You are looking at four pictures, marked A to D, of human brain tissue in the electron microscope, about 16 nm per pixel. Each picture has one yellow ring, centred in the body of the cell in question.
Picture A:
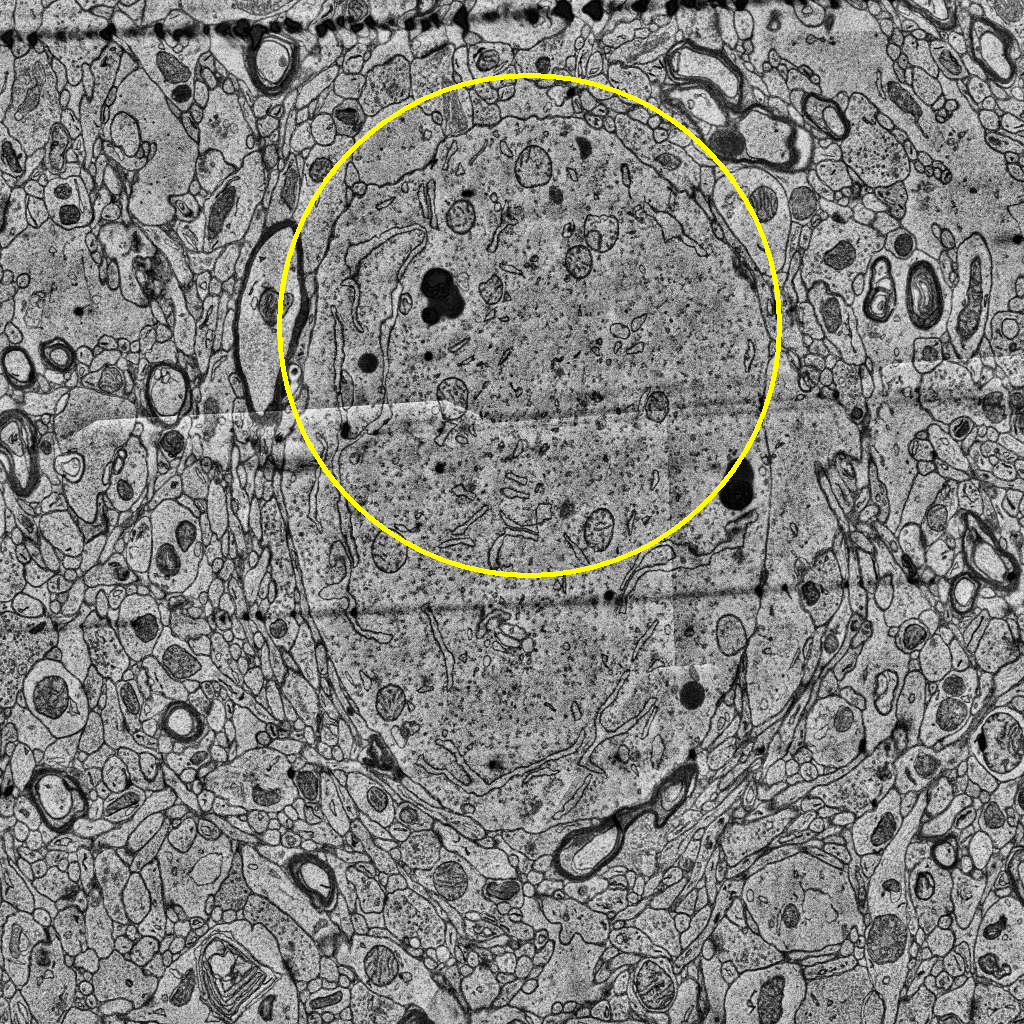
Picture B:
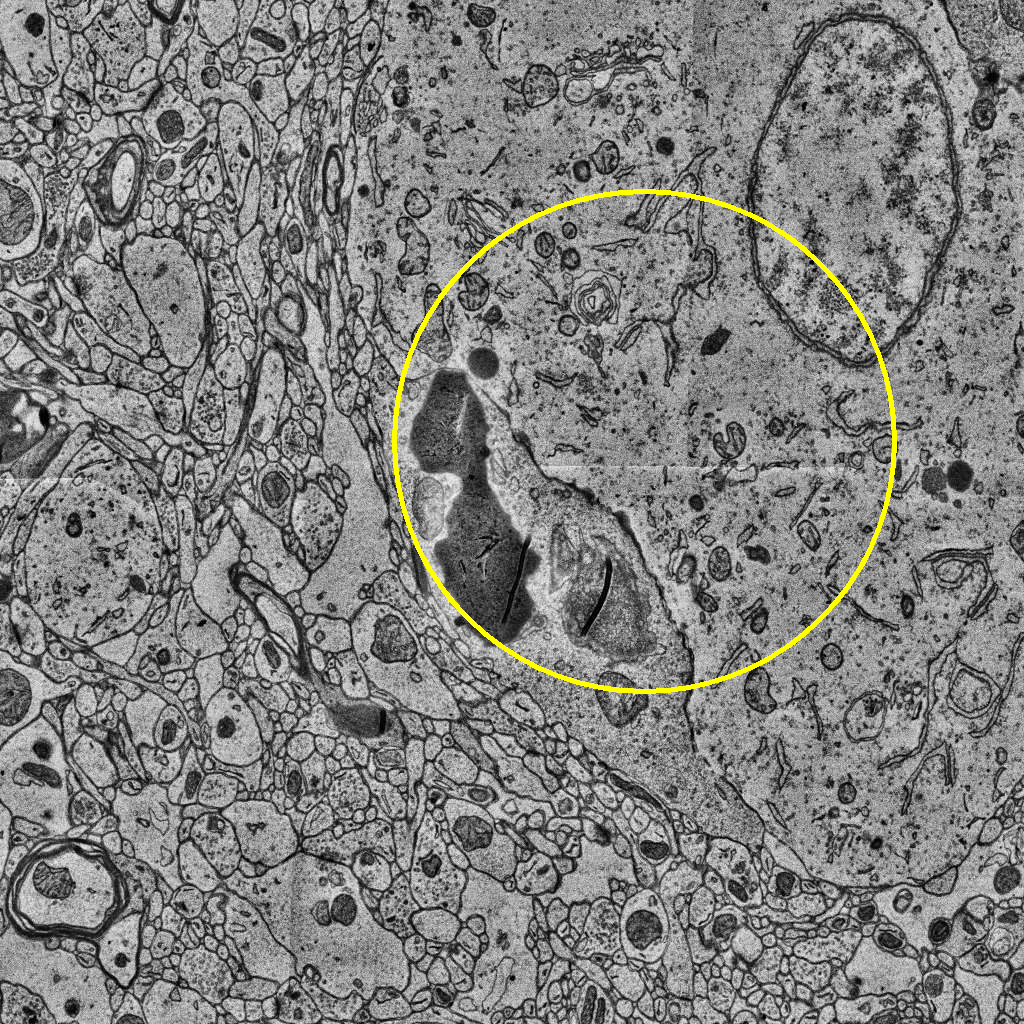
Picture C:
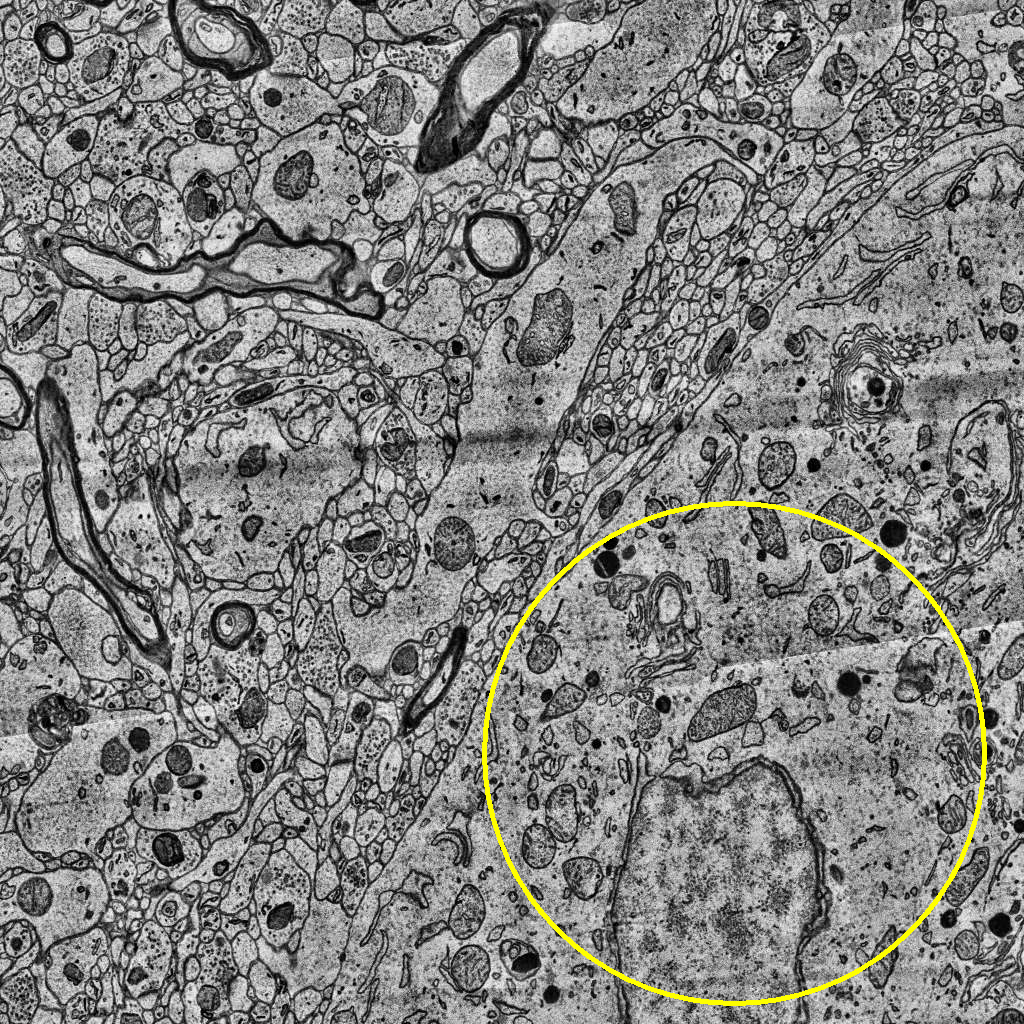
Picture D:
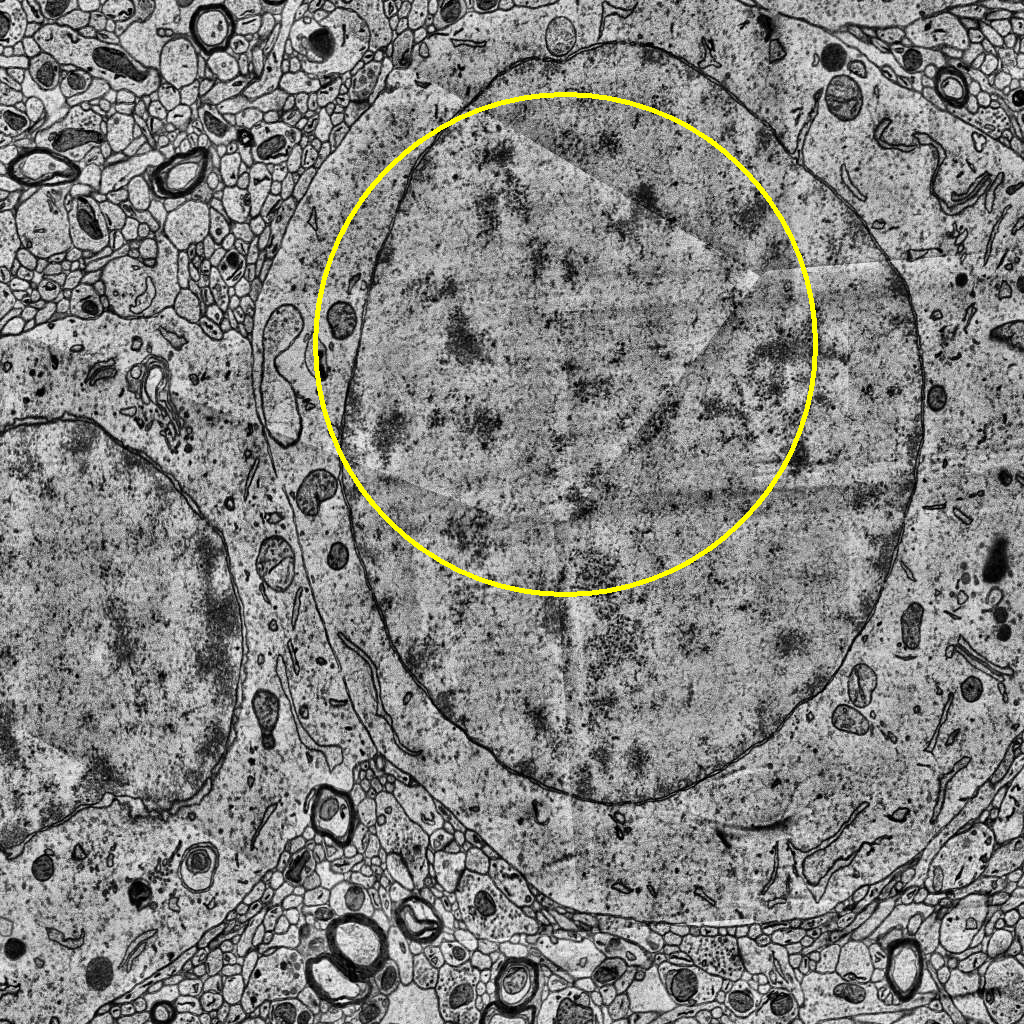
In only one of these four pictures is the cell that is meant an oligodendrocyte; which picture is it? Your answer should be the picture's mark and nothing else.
B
